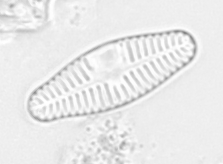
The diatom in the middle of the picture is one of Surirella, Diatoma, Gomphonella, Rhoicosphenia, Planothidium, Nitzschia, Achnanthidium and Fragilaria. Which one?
Planothidium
